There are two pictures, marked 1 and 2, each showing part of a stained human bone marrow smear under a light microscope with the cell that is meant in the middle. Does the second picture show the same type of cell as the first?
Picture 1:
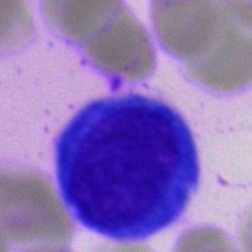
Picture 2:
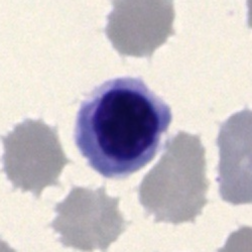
no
